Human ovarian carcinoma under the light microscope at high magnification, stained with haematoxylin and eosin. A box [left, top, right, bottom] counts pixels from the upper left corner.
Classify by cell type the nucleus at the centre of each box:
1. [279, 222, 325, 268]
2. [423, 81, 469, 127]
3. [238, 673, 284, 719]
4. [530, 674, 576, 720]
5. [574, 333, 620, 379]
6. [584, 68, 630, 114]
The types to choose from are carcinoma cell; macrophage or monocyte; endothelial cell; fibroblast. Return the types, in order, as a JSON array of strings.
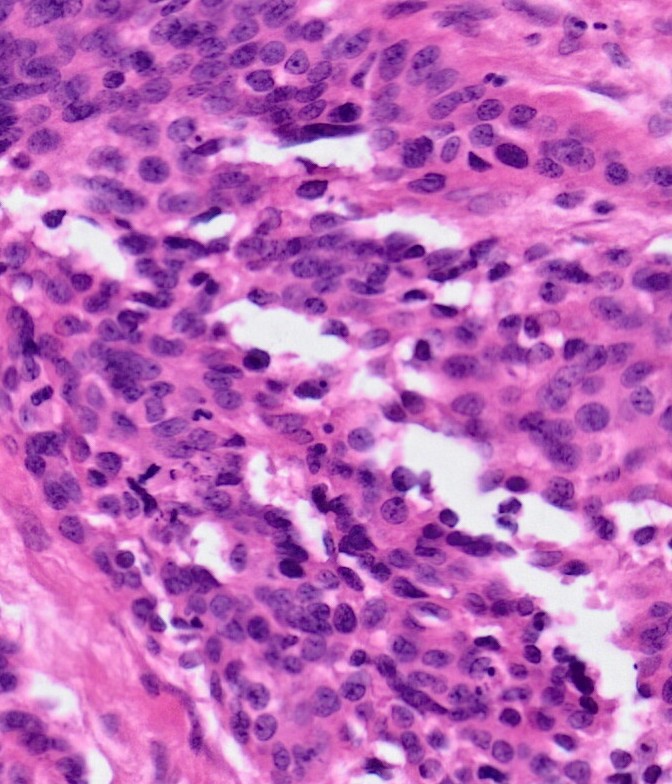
["carcinoma cell", "carcinoma cell", "macrophage or monocyte", "carcinoma cell", "carcinoma cell", "fibroblast"]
